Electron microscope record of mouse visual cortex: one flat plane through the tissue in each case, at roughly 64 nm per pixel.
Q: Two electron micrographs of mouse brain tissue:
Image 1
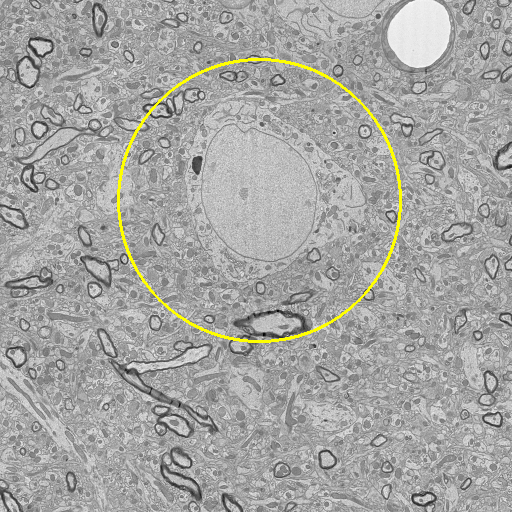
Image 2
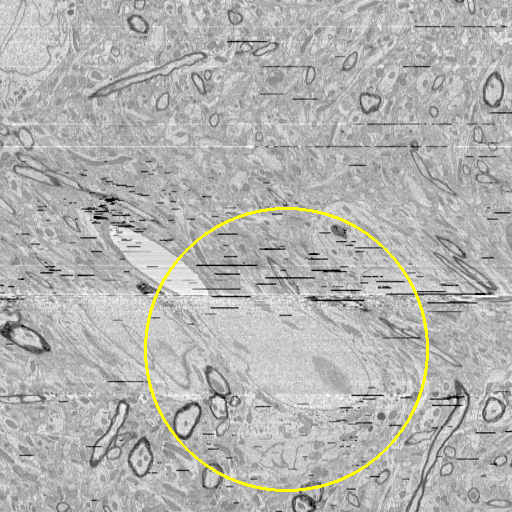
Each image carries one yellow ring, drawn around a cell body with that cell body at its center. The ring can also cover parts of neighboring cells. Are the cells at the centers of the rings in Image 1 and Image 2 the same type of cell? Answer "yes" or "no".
yes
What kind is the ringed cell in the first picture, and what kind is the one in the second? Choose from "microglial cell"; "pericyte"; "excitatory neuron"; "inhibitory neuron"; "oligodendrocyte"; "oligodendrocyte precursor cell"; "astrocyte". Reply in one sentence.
Each cell at the centre of a ring is an excitatory neuron.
